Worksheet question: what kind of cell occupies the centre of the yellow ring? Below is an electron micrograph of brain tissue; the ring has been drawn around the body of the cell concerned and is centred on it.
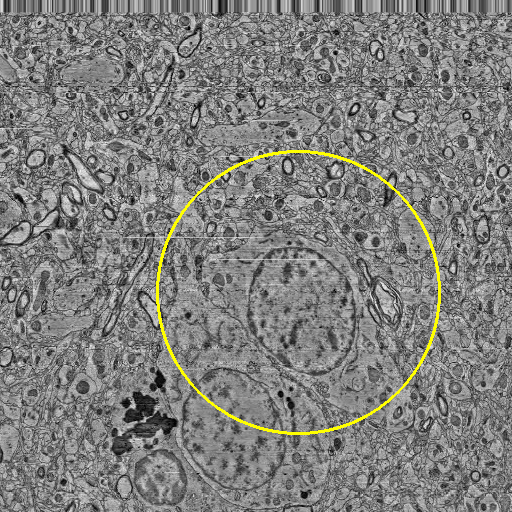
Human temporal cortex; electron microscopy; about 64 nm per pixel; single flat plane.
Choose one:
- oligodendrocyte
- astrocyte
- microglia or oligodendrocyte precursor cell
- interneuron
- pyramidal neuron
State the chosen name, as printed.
astrocyte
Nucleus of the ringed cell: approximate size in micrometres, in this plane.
Approximately 9 micrometres long and 7 micrometres wide, in this plane.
